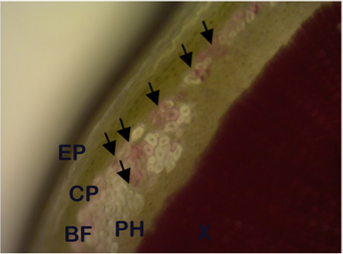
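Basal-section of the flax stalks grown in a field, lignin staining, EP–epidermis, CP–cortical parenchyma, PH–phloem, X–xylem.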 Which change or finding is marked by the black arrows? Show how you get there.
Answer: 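The arrows point at pink-stained walls of round thick-walled cells in bundles near the outer surface. Other cells of these bundles are pale and unstained. On this evidence: lignification of the fibre cell wall has just started.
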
